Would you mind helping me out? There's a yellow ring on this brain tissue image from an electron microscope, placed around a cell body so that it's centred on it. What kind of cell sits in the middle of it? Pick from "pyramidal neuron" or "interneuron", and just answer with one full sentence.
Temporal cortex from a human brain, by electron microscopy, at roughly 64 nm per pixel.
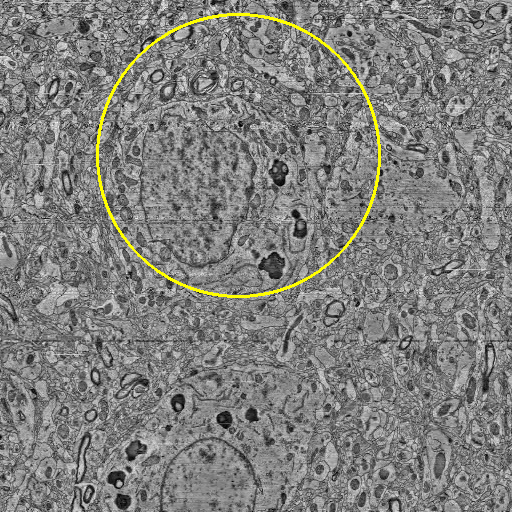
What sits in the middle of that yellow ring is an interneuron, from your choices.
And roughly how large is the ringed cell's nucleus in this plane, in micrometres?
In this plane the nucleus measures roughly 10 by 8 micrometres.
